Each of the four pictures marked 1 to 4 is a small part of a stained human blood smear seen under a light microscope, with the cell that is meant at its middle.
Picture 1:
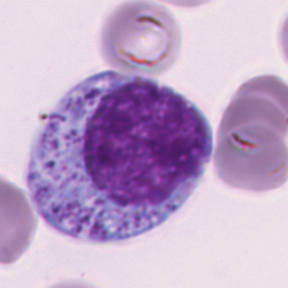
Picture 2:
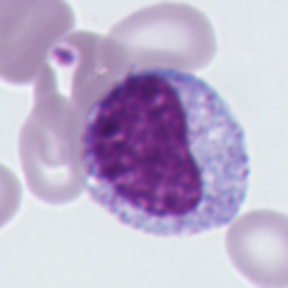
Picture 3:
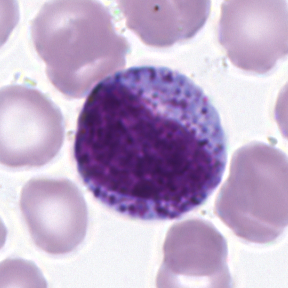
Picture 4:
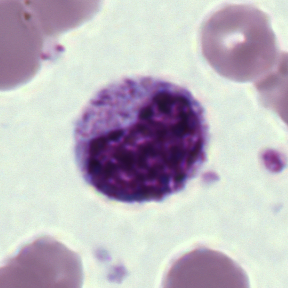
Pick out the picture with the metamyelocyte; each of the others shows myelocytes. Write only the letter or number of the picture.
4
